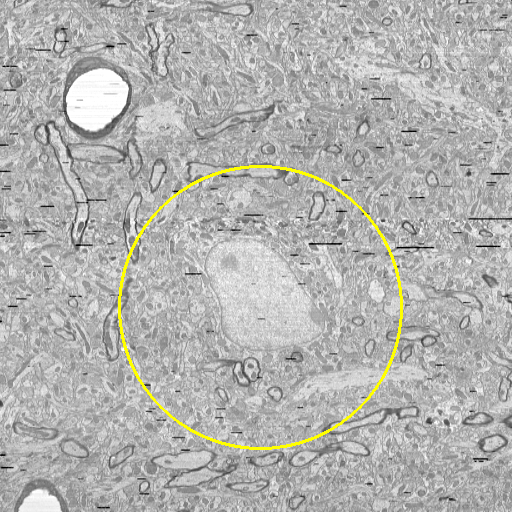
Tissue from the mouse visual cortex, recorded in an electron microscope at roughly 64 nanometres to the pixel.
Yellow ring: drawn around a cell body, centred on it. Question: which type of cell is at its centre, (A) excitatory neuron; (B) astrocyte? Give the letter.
B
